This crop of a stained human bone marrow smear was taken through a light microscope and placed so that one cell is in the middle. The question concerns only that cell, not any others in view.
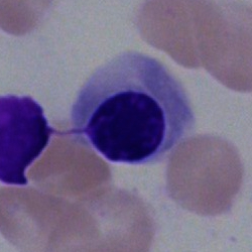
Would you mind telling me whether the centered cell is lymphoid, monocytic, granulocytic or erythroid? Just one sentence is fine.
The cell located at the center of the crop is erythroid by lineage.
